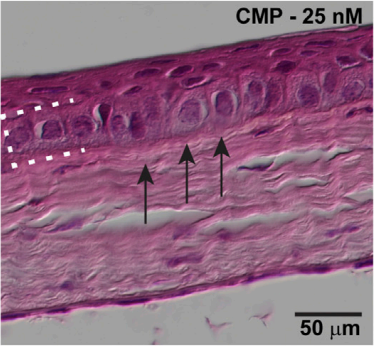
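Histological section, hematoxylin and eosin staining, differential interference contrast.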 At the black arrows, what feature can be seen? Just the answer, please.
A: Anterior stromal surface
